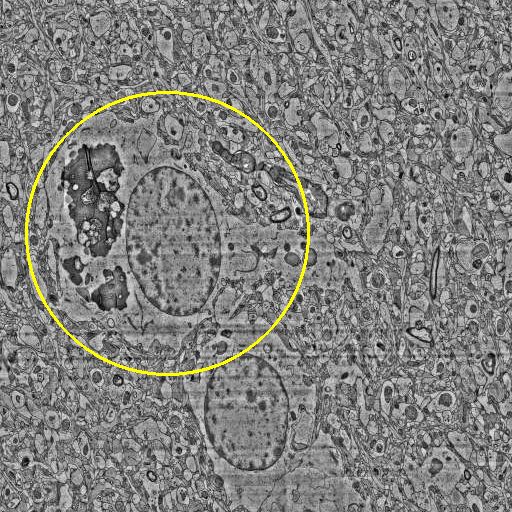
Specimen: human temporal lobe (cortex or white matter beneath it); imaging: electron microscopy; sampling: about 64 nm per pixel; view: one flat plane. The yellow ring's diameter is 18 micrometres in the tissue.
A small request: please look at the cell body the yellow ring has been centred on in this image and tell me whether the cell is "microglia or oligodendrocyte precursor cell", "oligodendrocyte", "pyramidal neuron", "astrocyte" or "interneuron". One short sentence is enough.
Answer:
The cell marked by the ring is an astrocyte.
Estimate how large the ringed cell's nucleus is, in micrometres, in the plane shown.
In this plane, approximately 10 by 6 micrometers, and clearly longer than it is wide.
